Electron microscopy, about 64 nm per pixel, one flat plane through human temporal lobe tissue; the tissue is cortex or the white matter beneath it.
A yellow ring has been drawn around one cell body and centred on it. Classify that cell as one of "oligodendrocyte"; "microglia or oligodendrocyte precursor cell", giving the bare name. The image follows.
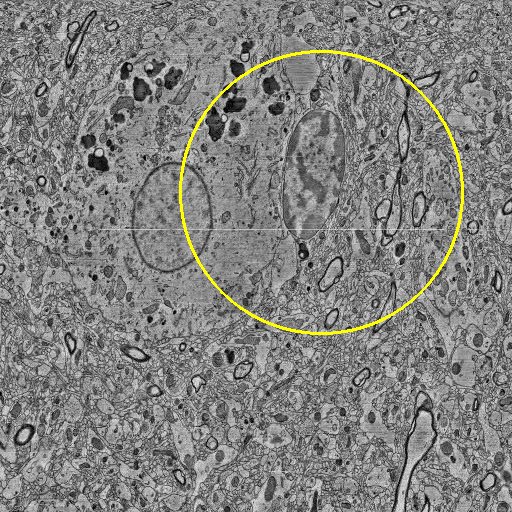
microglia or oligodendrocyte precursor cell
